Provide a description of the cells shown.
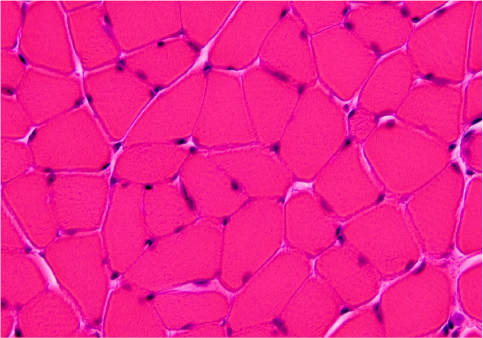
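A transverse section of skeletal muscle in which the muscle fibers are cut across and appear as tightly packed, polygonal profiles with evenly pink, finely granular cytoplasm. The fibers are of fairly similar size and abut one another with only thin strands of pale connective tissue between them. The nuclei are dark purple, small and flattened or oval, and lie at the edges of the fibers just beneath their surface rather than in their centres. Occasional slightly wider pale septa carry further nuclei between the fibers.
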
